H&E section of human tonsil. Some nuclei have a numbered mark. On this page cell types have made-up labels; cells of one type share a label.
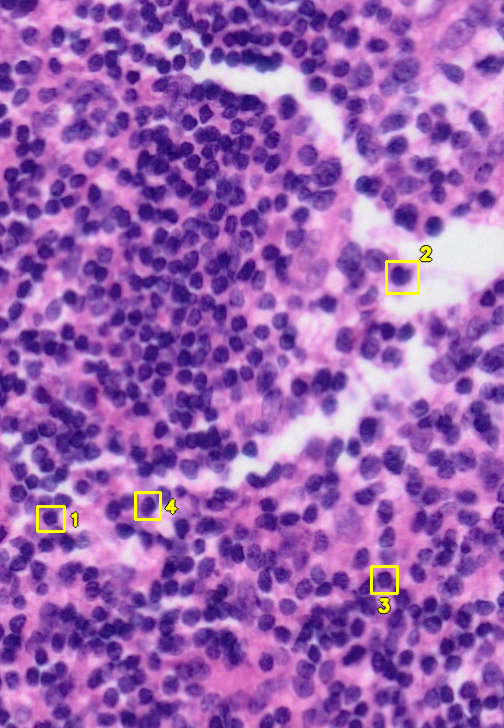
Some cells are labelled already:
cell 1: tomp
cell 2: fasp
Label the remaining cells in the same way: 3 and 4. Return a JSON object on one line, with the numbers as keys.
{"3": "tomp", "4": "tomp"}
